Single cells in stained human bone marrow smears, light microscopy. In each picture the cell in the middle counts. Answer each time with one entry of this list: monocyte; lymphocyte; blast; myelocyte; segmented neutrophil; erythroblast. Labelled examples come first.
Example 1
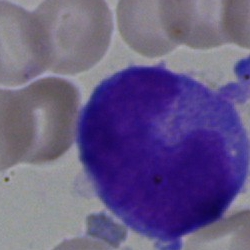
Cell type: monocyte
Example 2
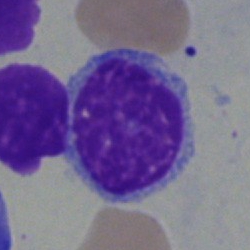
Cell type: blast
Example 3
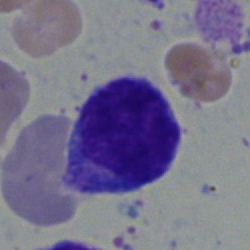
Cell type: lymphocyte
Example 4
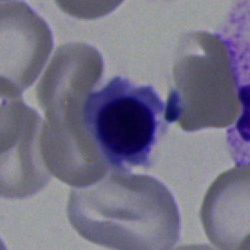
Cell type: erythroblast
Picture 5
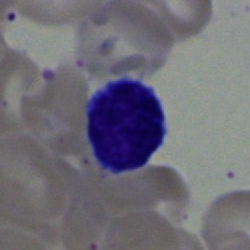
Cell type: lymphocyte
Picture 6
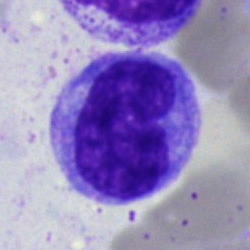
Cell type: monocyte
